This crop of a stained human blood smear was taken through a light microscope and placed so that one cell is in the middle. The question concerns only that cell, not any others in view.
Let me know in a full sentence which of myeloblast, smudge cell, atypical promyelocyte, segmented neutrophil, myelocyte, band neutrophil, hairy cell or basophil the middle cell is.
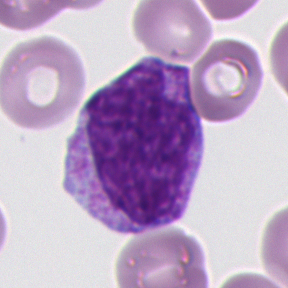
The cell at the middle of the crop is recognized as an atypical promyelocyte.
